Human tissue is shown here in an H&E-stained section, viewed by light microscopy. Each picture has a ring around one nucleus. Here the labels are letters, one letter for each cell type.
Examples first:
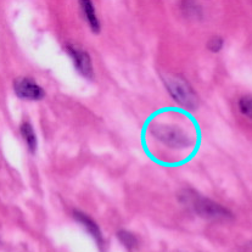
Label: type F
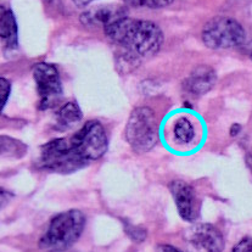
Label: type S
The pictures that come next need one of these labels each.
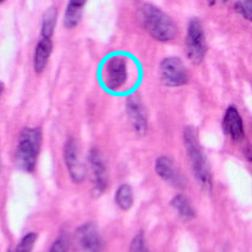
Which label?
type F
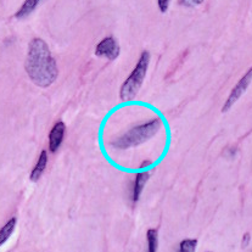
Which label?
type F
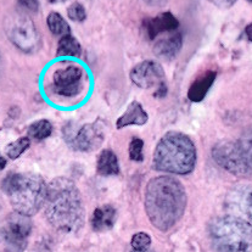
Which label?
type S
